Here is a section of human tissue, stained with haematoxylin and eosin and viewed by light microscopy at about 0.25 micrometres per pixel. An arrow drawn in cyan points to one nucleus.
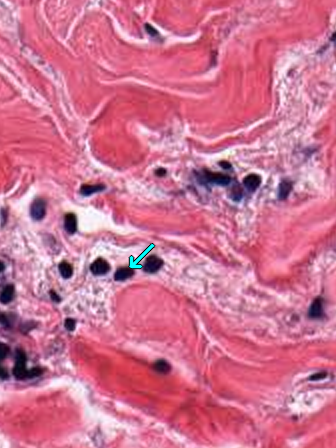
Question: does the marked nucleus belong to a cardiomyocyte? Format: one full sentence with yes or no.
No, the marked nucleus does not belong to a cardiomyocyte; it belongs to a supporting cell.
